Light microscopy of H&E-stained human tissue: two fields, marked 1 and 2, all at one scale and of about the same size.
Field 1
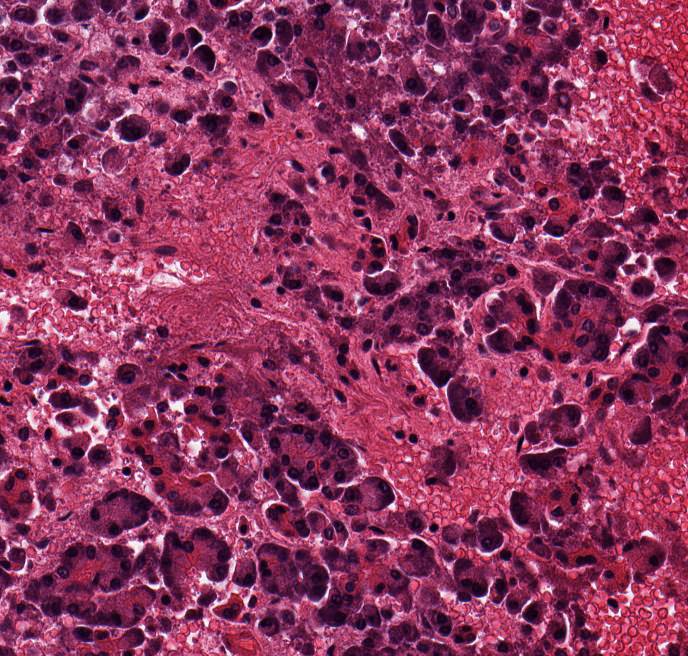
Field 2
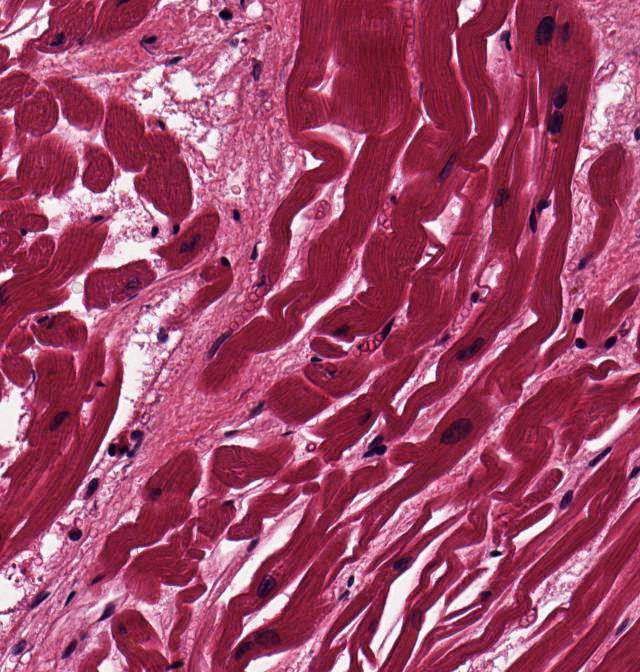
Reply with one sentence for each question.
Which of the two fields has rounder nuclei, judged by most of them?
The nuclei are rounder in field 1.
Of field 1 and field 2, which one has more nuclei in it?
Field 1 holds more nuclei than field 2.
